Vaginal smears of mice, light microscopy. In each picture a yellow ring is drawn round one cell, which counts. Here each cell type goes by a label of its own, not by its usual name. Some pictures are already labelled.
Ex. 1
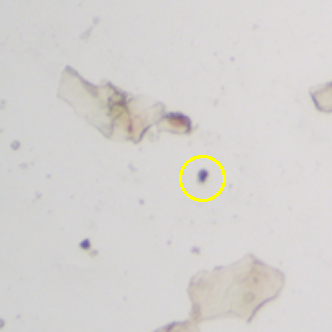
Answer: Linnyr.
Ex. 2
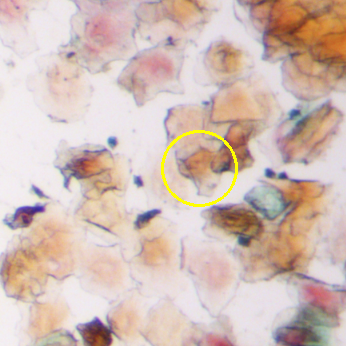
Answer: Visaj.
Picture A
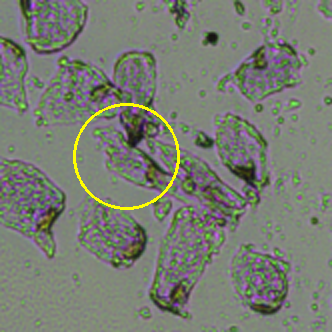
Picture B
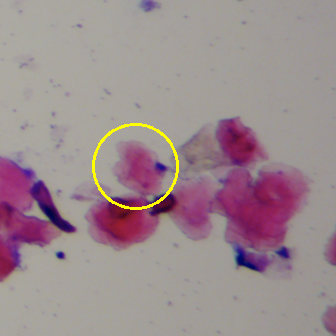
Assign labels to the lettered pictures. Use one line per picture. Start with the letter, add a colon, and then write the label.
A: Visaj.
B: Visaj.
